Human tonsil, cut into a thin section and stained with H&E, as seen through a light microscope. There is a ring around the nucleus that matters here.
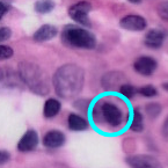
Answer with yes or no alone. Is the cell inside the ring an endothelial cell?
yes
